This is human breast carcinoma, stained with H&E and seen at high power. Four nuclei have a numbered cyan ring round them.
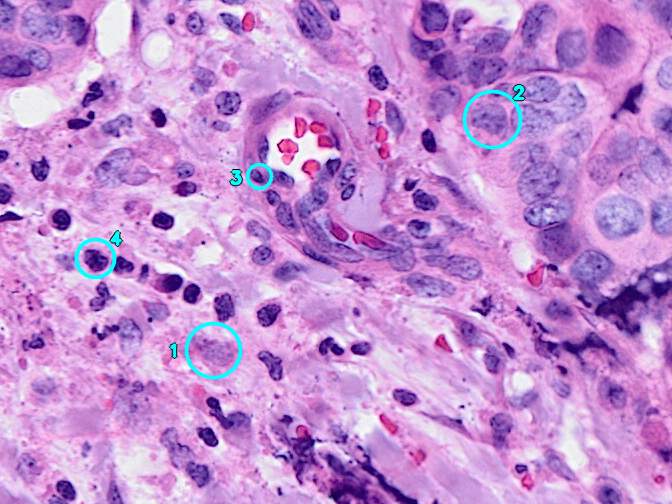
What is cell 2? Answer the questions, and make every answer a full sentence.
The cell whose nucleus carries the number 2 is a carcinoma cell.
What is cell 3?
Denoted by the label 3 in the section is an endothelial cell.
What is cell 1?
Cell 1 of the marked set is a fibroblast.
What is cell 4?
The one numbered 4 among the marked cells is a lymphocyte.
